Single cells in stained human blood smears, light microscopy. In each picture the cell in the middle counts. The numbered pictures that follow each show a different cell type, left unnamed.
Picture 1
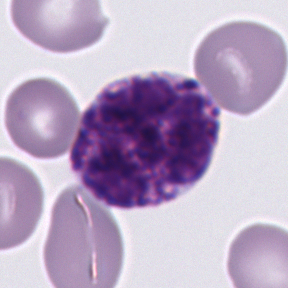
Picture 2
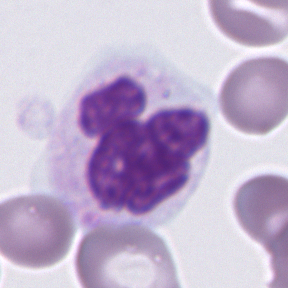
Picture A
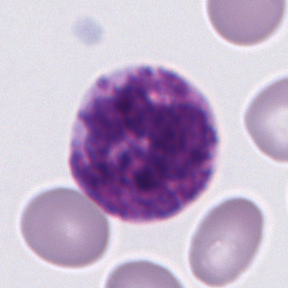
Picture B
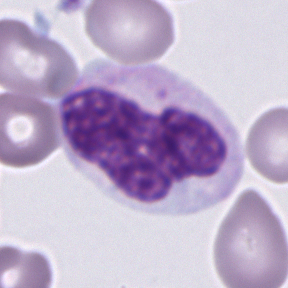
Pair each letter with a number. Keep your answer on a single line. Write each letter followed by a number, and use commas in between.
A 1, B 2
